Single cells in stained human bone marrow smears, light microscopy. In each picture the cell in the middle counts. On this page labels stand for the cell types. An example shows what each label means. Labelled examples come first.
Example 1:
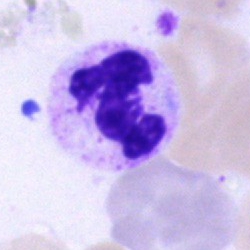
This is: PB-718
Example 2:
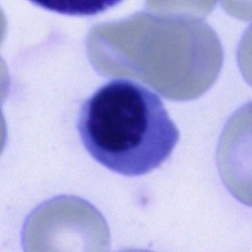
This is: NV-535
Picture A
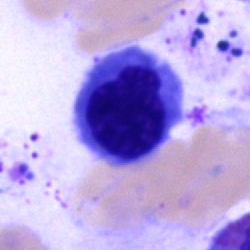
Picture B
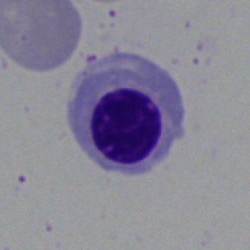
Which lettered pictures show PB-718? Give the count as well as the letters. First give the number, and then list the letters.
0, none of them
